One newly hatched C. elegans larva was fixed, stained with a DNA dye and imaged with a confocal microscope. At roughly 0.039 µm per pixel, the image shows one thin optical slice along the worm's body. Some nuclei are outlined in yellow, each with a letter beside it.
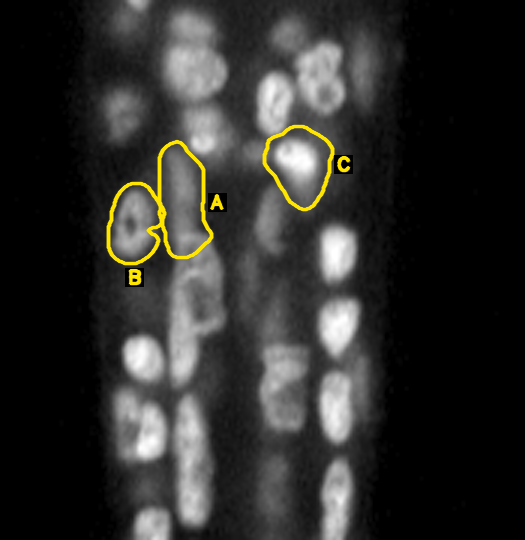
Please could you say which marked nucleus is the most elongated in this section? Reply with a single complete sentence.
A is the most elongated in this section.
